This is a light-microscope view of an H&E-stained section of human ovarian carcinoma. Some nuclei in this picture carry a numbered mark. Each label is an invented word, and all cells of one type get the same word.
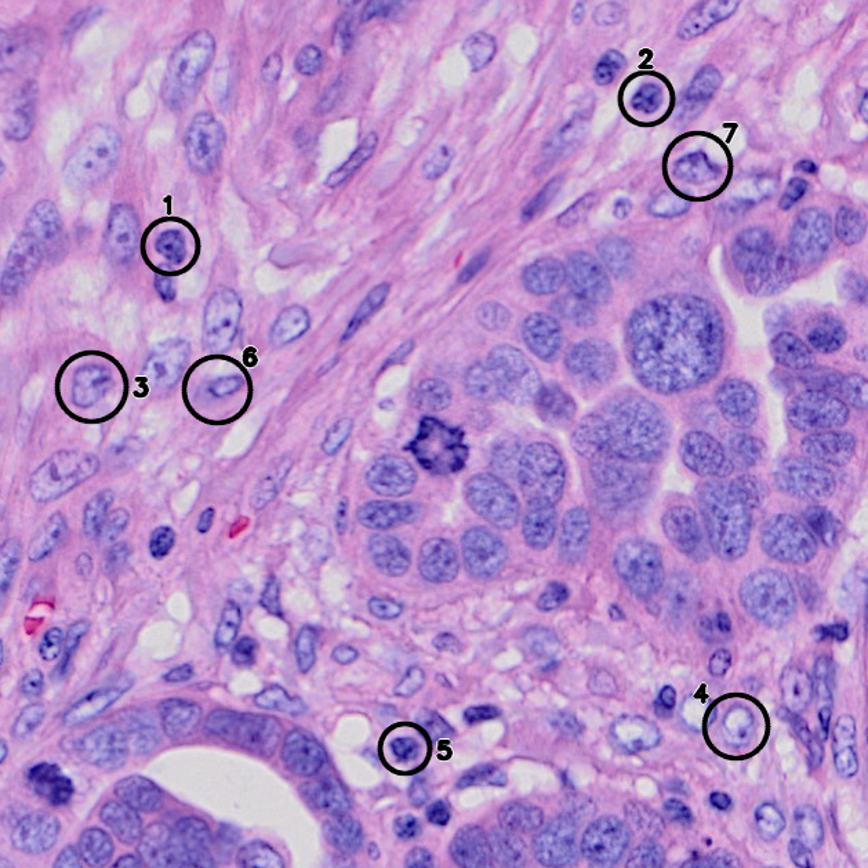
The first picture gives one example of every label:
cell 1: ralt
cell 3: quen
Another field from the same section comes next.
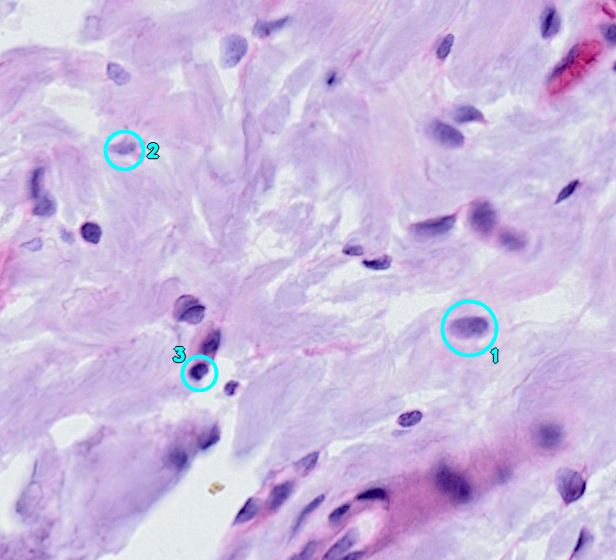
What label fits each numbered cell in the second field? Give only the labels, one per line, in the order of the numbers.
quen
quen
ralt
